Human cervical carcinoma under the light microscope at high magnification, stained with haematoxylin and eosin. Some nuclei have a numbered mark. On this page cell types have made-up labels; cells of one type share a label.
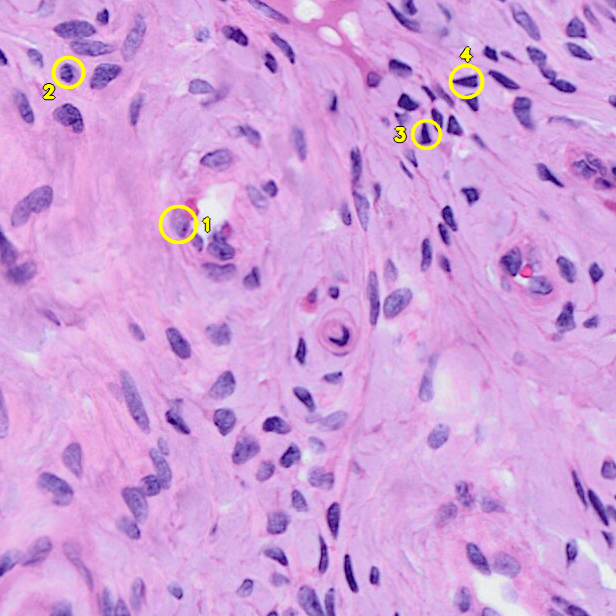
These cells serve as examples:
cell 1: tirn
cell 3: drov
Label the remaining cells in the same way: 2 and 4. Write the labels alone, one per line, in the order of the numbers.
drov
drov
